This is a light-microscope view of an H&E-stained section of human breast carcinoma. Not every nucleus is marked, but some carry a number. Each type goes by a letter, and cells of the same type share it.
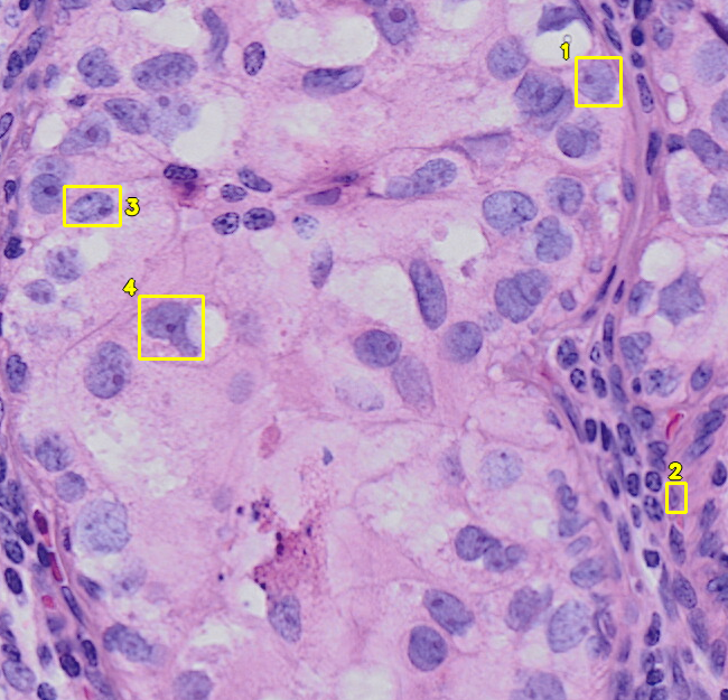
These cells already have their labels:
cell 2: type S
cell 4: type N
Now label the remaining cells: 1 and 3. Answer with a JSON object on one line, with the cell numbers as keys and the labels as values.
{"1": "type N", "3": "type N"}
